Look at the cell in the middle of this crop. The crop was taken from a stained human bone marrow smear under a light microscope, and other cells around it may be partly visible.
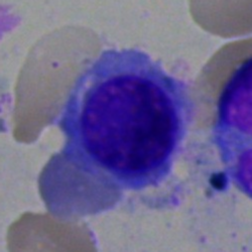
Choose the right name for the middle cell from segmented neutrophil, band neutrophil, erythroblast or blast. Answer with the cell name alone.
erythroblast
